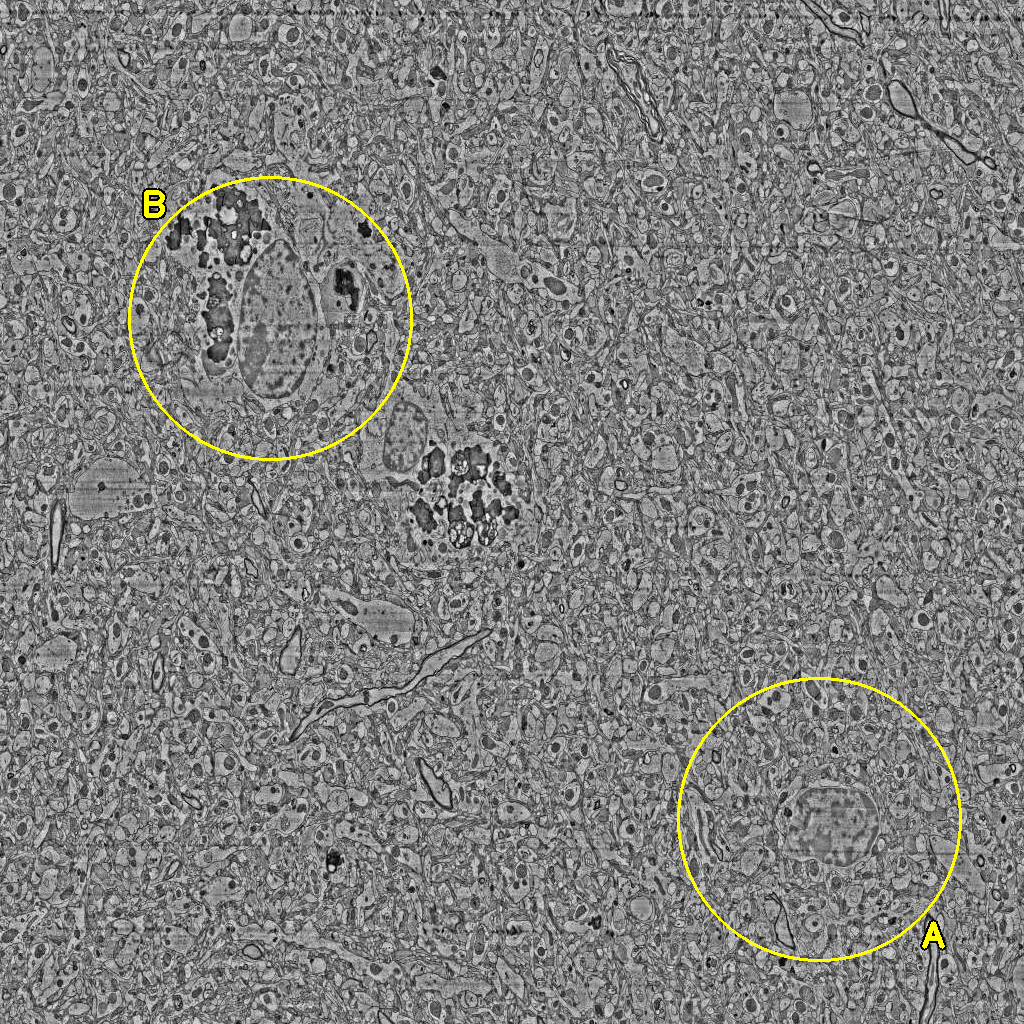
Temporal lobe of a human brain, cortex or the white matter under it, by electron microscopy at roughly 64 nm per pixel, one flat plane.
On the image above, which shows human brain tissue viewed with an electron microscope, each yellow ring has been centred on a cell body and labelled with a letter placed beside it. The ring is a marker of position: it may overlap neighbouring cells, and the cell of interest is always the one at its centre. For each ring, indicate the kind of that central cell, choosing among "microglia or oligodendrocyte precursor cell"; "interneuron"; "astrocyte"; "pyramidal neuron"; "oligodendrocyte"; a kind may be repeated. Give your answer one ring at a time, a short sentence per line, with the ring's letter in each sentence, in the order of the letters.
Ring A shows a microglial cell or oligodendrocyte precursor cell at its centre.
Ring B shows an astrocyte at its centre.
